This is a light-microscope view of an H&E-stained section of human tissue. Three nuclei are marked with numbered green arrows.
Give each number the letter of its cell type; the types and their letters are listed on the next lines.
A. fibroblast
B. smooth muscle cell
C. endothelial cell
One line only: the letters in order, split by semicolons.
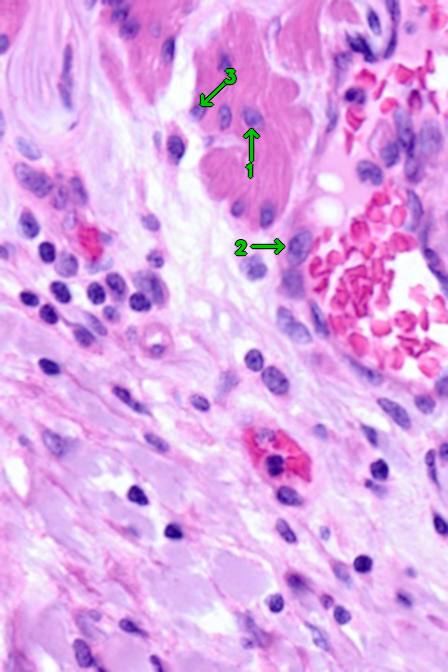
B; C; B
